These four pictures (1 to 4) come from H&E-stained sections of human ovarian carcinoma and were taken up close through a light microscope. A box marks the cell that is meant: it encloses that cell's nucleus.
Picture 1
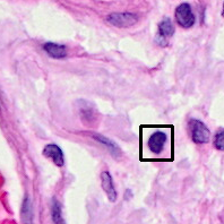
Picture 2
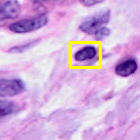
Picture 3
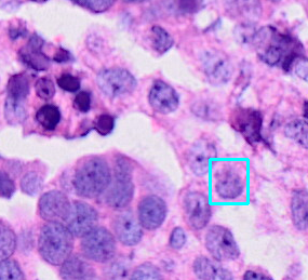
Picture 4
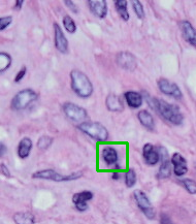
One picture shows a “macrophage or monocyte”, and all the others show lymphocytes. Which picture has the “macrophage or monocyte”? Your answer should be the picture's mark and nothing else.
3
